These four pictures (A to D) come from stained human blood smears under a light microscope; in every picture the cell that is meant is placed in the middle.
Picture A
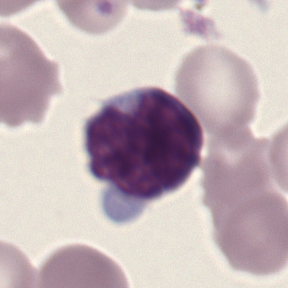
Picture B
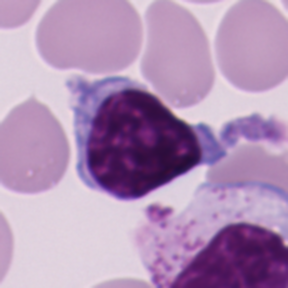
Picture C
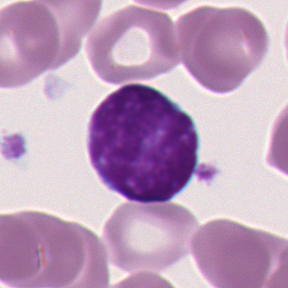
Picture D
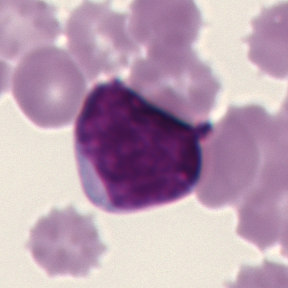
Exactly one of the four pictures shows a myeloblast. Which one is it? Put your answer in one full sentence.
Picture D shows the myeloblast.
